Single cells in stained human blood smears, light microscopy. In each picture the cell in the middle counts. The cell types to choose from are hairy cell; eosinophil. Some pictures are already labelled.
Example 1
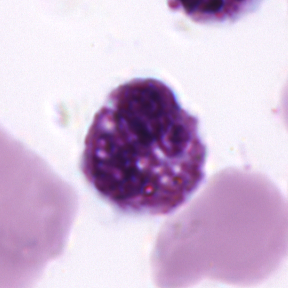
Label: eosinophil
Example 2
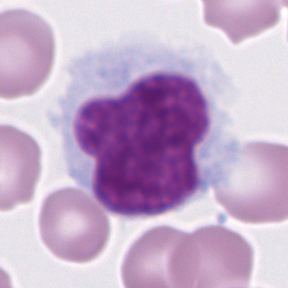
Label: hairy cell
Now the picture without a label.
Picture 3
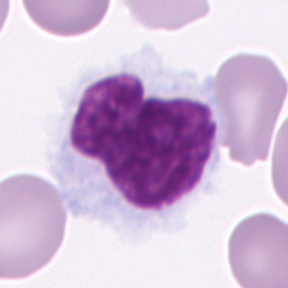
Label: hairy cell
